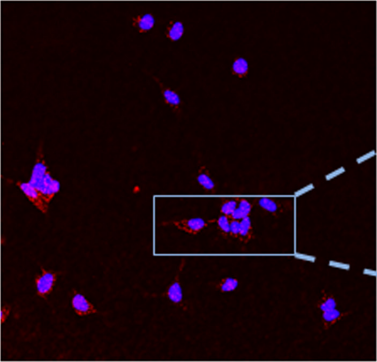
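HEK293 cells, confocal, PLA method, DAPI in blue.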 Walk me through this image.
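Small discrete red dots cluster around the nuclei and extend into the thin cytoplasm and short processes of some cells. Most cells lie singly, but a few near the centre form a small group of touching cells. The cell outlines are faint and irregular, so the cells are seen mainly through their nuclei and the red dots around them.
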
